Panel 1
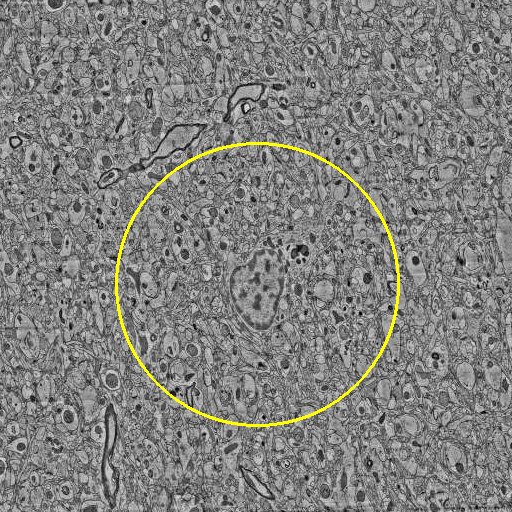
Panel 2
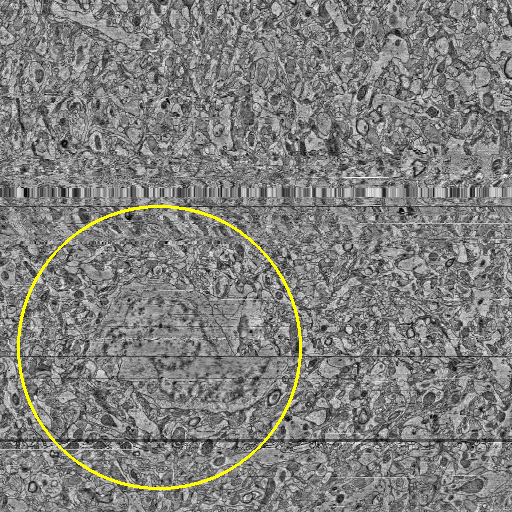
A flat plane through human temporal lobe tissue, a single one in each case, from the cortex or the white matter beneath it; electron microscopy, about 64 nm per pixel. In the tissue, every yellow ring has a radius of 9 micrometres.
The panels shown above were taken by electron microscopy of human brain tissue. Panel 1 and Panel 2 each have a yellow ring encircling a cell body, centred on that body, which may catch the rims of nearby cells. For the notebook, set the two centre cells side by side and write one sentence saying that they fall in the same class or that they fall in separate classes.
The centred cells of Panel 1 and Panel 2 fall in separate classes.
